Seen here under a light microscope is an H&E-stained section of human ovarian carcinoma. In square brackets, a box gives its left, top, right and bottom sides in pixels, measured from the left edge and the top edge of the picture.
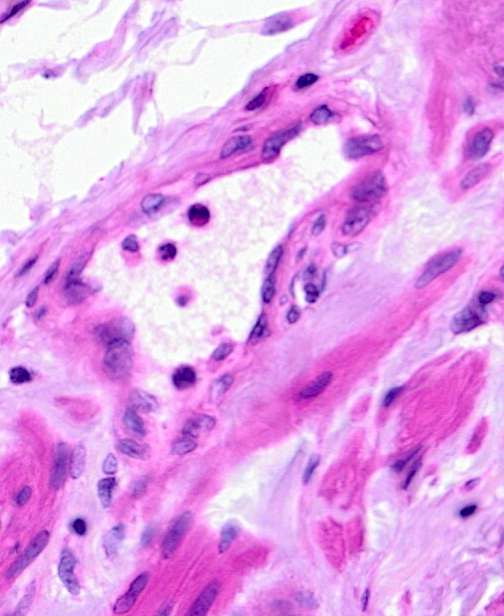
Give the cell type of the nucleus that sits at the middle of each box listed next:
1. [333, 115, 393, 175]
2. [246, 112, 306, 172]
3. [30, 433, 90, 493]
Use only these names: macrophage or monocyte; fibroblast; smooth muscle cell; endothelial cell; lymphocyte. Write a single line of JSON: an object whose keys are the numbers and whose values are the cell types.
{"1": "endothelial cell", "2": "endothelial cell", "3": "smooth muscle cell"}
